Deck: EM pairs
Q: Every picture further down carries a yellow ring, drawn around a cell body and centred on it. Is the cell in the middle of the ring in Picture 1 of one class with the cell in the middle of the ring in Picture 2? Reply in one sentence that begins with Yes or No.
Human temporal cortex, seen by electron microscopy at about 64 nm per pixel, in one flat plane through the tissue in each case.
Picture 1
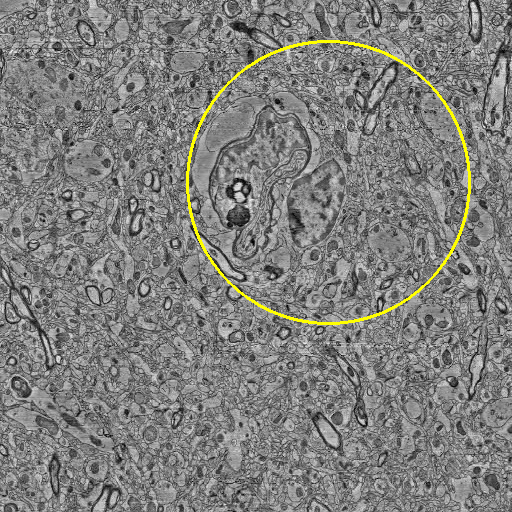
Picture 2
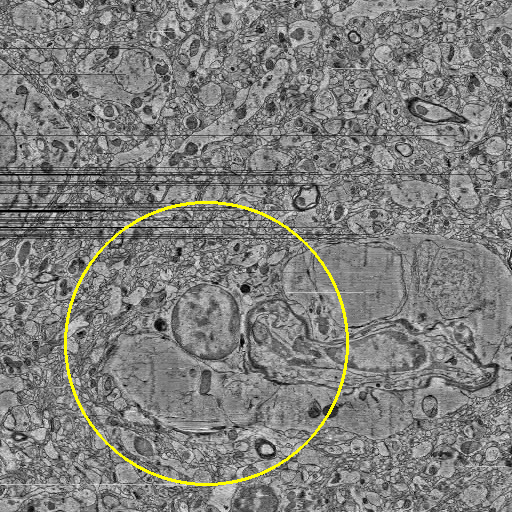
Yes, the cell centred in the ring of Picture 1 and the one in Picture 2 belong to one class.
